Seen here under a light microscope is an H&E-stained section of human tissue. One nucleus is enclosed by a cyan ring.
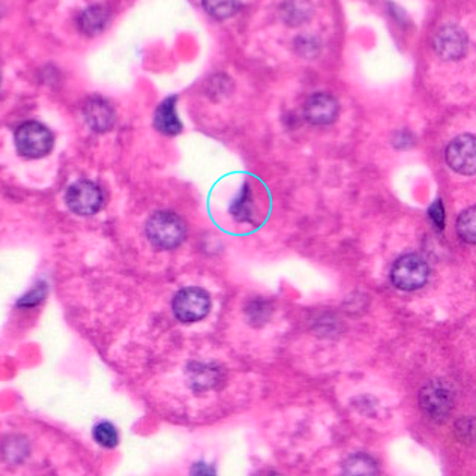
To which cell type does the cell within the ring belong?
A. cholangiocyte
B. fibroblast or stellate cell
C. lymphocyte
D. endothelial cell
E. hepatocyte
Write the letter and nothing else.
D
